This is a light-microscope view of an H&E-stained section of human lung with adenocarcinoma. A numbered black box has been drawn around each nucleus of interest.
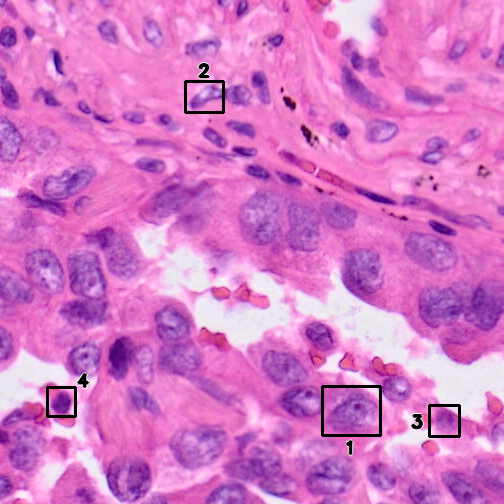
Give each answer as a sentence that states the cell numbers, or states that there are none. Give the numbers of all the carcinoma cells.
Across all the numbered cells, only number 1 is a carcinoma cell.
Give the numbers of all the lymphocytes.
The cell marked by number 4 is a lymphocyte; the other marked cells are not.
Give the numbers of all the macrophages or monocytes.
Of the numbered nuclei, only the one labelled 3 belongs to a macrophage or monocyte.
